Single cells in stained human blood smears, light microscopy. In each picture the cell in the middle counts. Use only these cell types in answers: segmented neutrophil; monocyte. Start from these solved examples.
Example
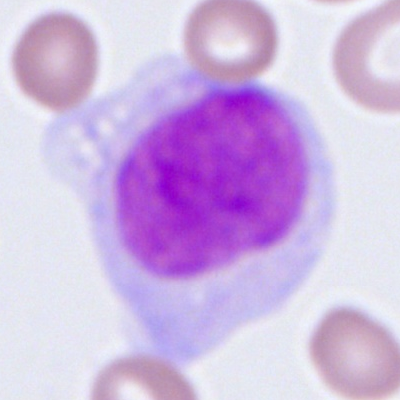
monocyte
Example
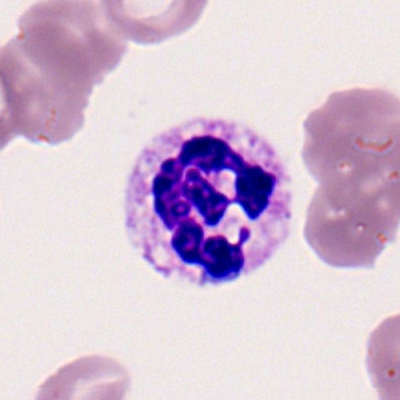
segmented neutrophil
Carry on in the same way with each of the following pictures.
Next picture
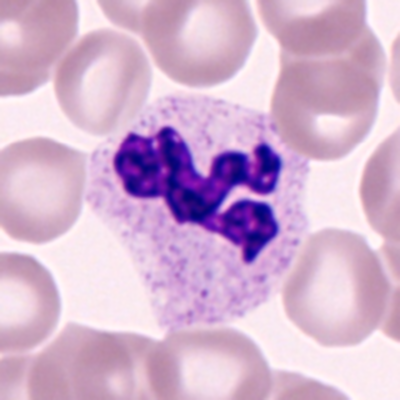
segmented neutrophil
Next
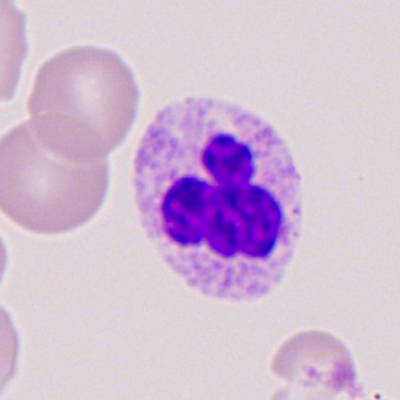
segmented neutrophil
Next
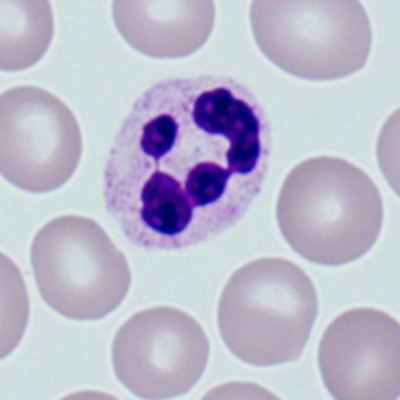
segmented neutrophil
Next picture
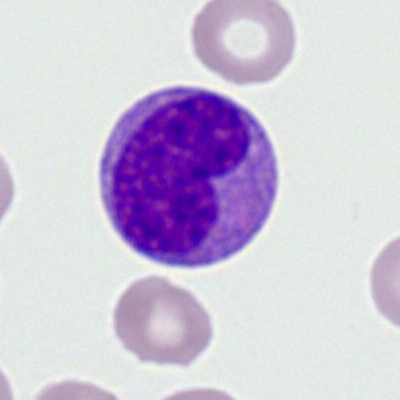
monocyte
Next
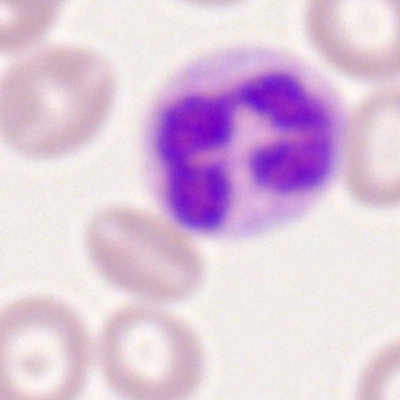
segmented neutrophil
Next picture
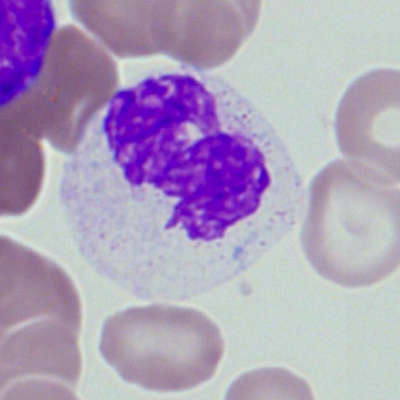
segmented neutrophil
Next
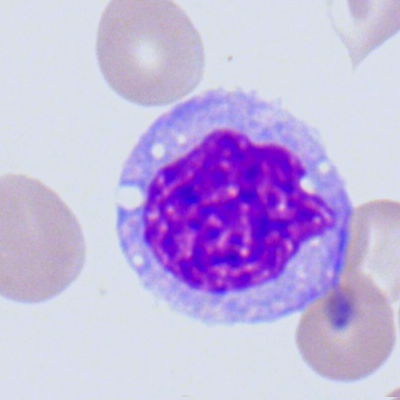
monocyte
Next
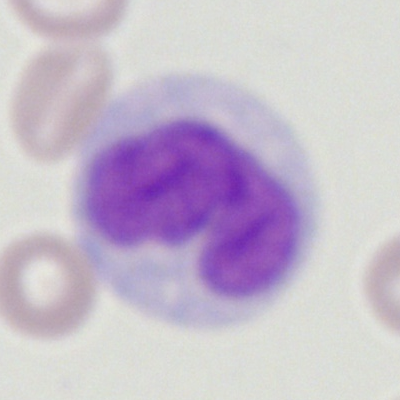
monocyte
